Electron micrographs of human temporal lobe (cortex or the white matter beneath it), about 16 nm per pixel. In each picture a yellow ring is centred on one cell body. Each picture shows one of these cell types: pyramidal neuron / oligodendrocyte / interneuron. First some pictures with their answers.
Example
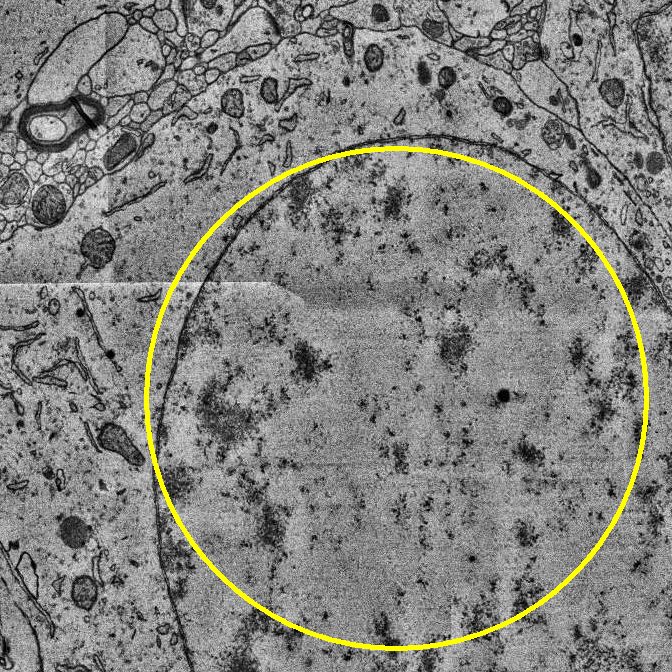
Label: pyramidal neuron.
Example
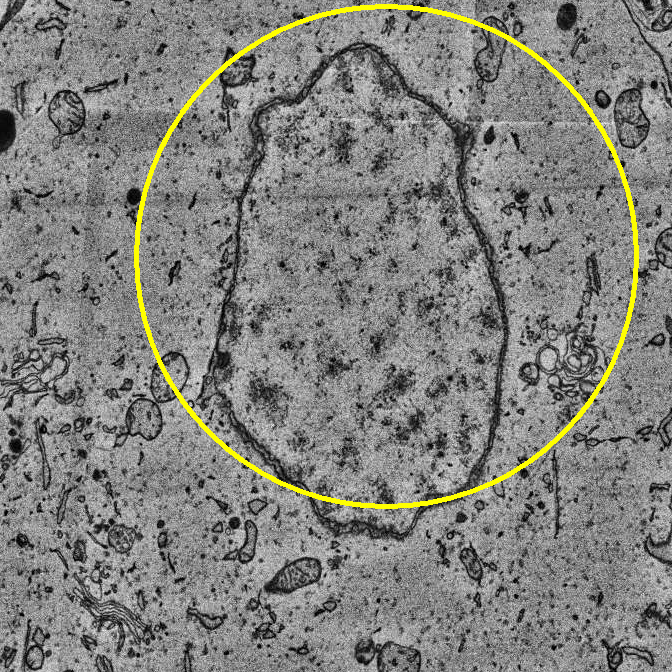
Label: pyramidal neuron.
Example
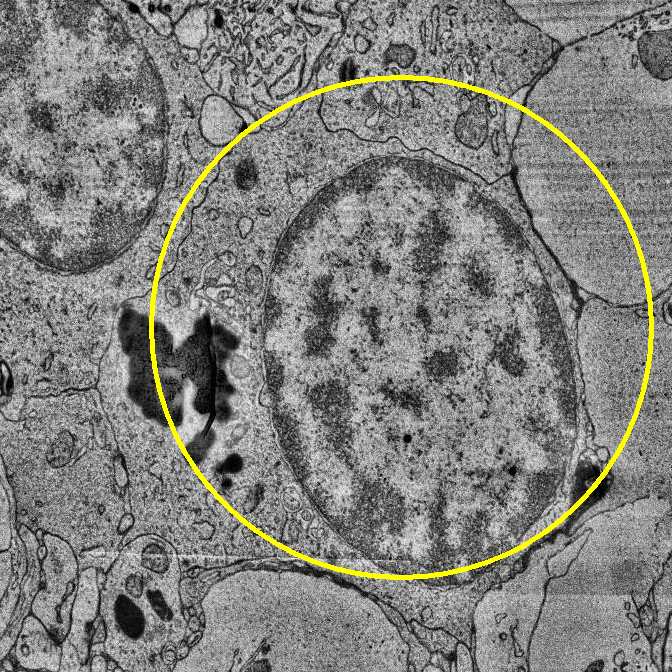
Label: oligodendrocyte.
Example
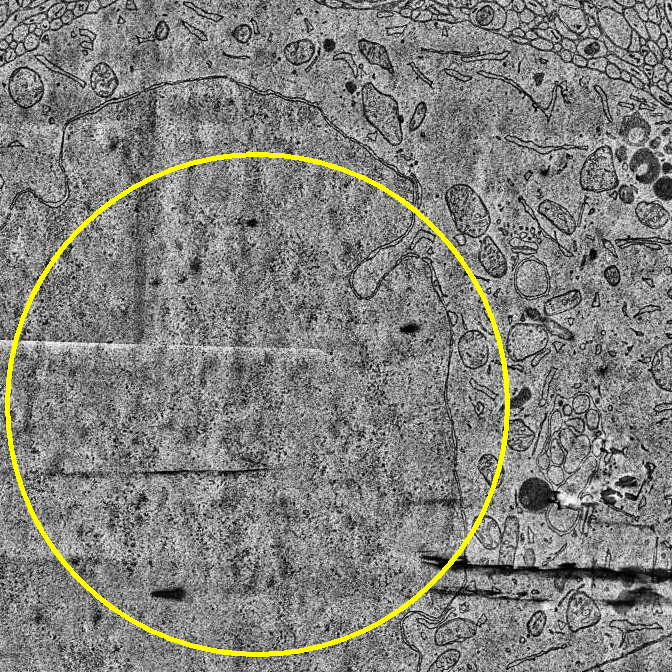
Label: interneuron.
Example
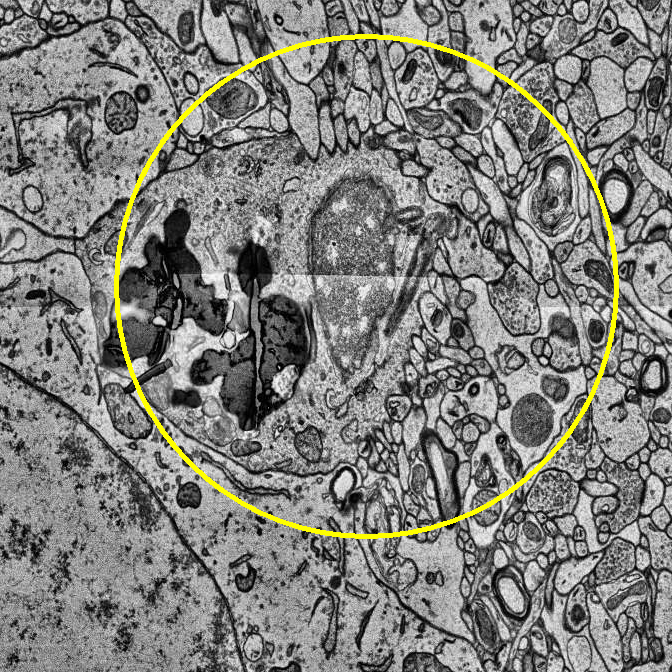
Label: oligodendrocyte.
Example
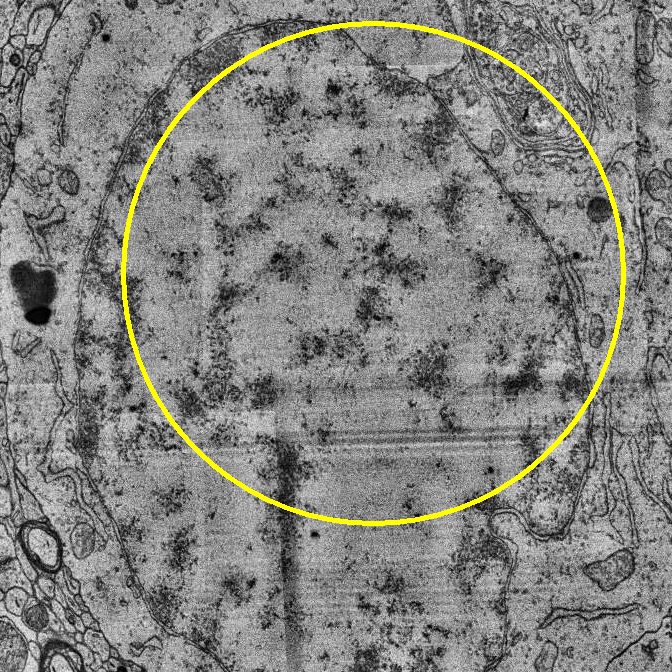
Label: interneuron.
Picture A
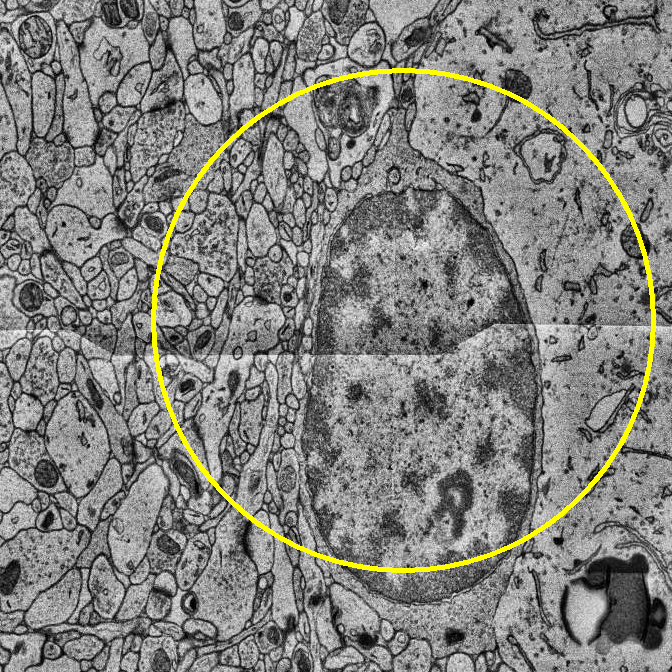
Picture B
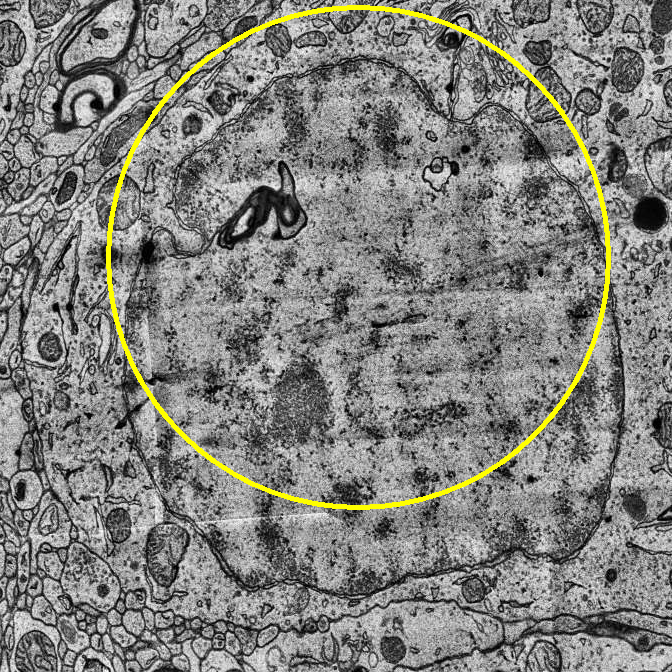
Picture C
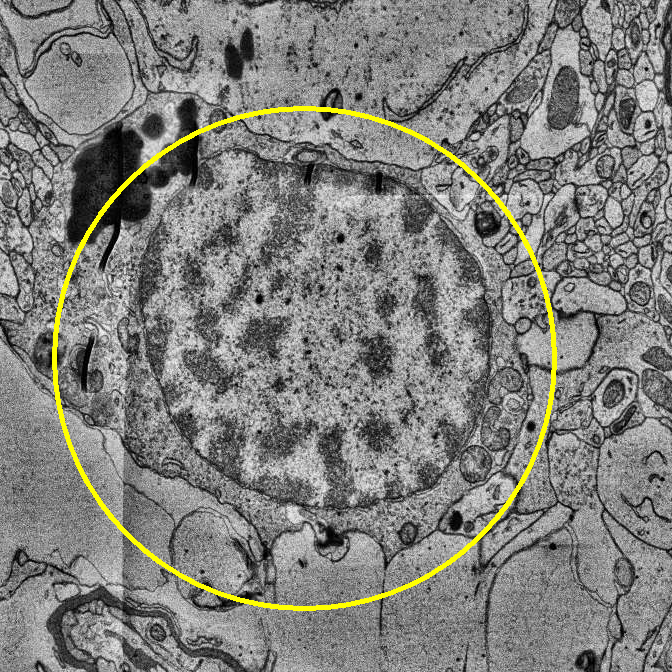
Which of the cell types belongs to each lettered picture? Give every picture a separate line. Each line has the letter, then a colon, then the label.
A: oligodendrocyte.
B: interneuron.
C: oligodendrocyte.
